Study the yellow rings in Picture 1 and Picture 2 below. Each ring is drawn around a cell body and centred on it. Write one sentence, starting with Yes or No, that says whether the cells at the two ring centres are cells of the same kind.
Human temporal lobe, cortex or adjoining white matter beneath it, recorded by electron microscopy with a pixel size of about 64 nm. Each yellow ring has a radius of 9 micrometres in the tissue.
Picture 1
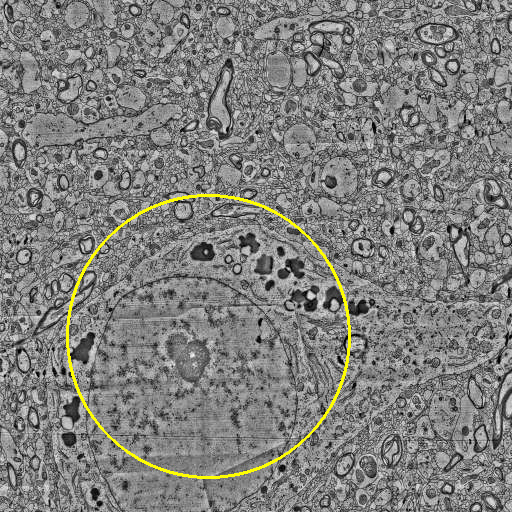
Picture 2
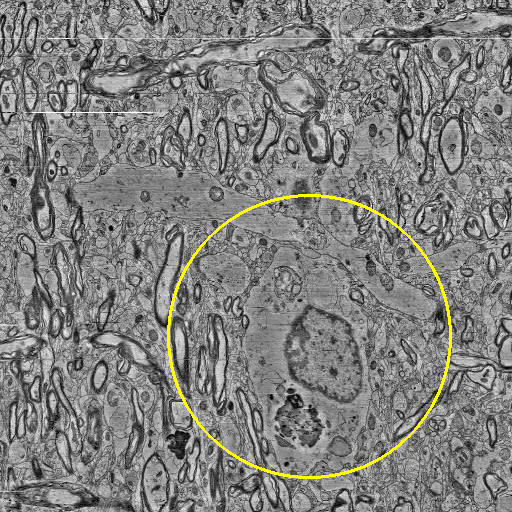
No, the cells at the ring centres are of two kinds.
